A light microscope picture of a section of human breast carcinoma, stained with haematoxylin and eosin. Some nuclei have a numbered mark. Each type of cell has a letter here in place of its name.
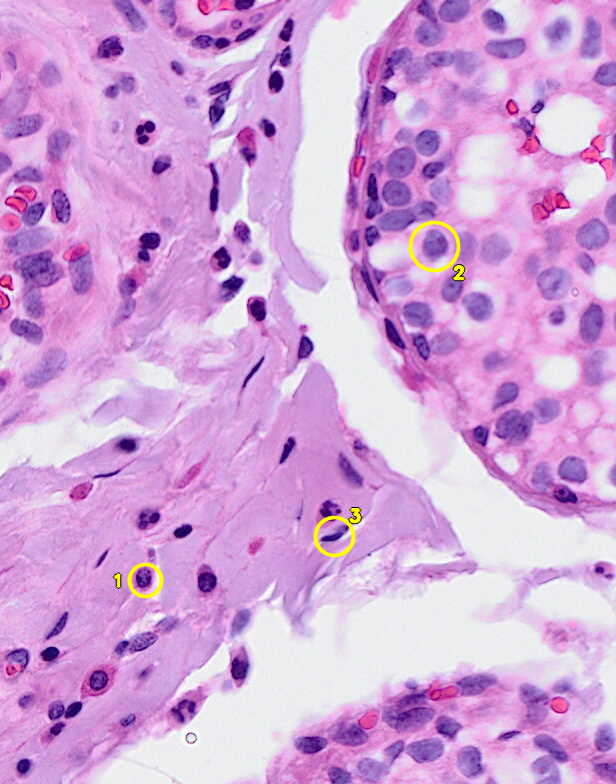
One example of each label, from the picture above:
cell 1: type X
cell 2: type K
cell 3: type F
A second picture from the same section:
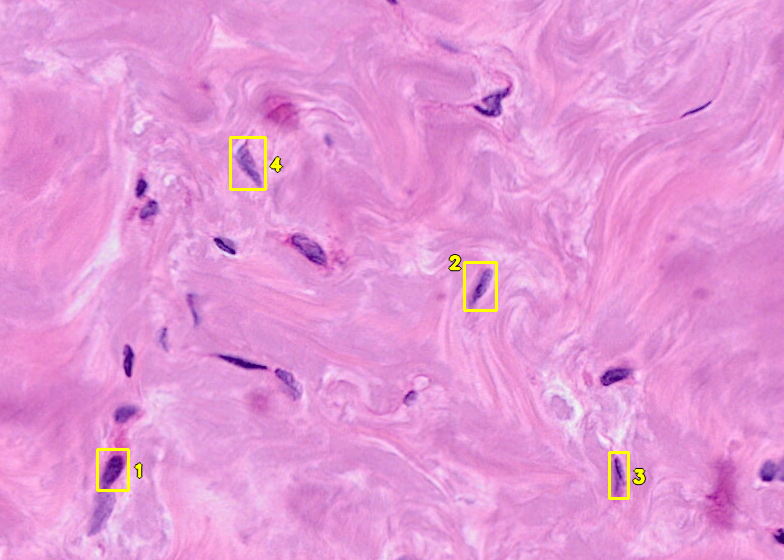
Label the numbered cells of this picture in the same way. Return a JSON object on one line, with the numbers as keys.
{"1": "type X", "2": "type F", "3": "type F", "4": "type F"}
